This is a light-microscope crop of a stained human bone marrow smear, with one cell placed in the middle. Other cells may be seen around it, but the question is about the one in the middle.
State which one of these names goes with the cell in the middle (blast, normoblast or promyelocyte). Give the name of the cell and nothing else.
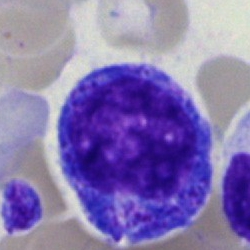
promyelocyte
